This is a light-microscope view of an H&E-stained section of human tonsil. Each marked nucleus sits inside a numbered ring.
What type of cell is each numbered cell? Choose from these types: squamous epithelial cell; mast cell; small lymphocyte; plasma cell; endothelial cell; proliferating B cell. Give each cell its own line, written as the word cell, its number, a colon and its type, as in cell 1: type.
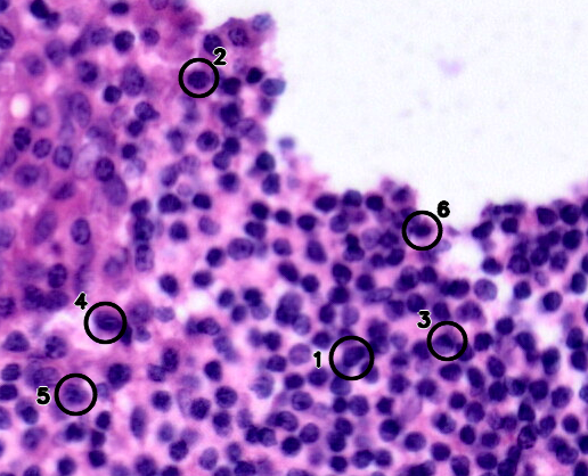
cell 1: small lymphocyte
cell 2: plasma cell
cell 3: small lymphocyte
cell 4: plasma cell
cell 5: plasma cell
cell 6: small lymphocyte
